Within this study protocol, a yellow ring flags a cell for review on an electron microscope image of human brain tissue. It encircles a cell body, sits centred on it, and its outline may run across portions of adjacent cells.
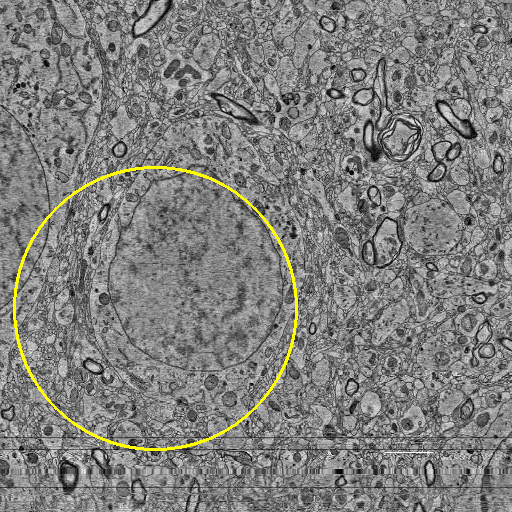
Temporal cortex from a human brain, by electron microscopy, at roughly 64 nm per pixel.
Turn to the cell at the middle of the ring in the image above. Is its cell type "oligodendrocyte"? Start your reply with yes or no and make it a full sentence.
No, the cell at the ring's centre in the image above has another cell type.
